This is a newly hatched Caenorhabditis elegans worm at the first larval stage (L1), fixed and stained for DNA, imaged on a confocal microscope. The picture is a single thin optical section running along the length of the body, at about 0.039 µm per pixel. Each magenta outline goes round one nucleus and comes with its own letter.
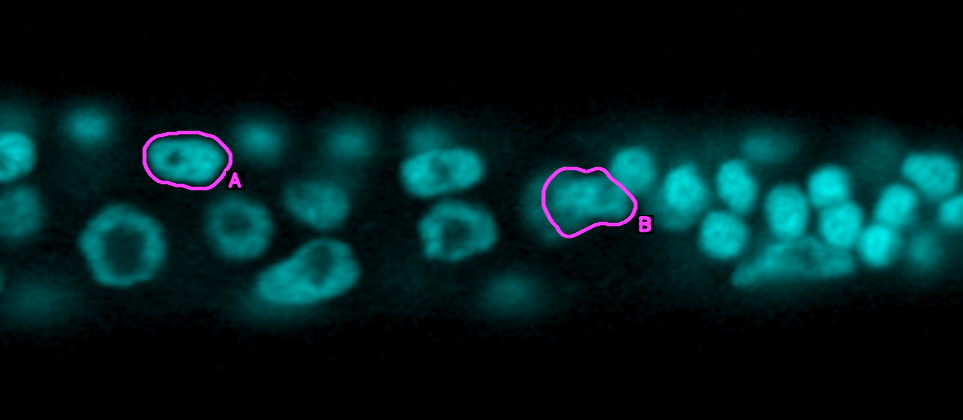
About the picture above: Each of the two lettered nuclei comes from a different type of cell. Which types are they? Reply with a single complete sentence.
One is from a body wall muscle cell, namely A, and the other, B, is from an enteric muscle cell.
